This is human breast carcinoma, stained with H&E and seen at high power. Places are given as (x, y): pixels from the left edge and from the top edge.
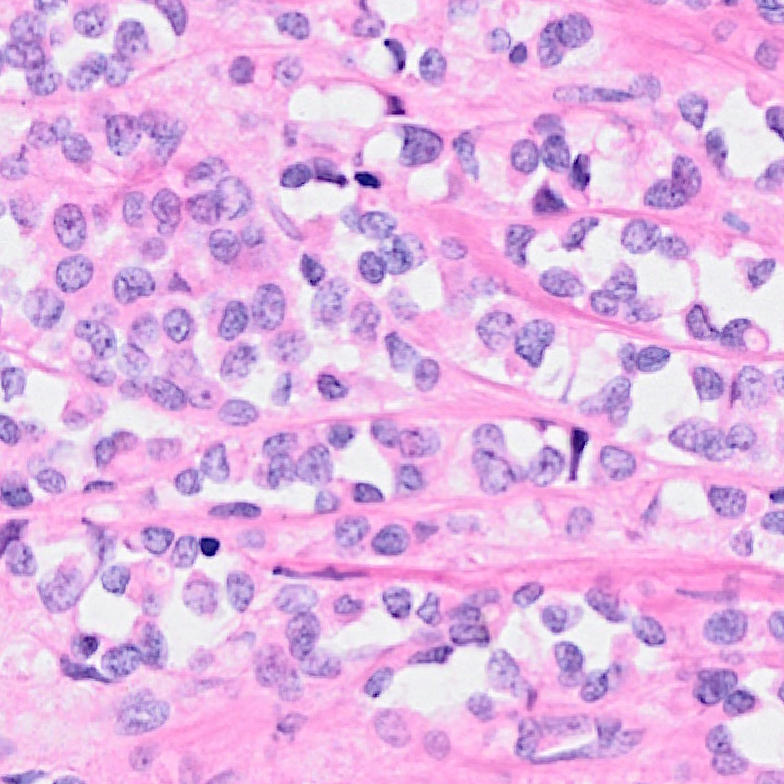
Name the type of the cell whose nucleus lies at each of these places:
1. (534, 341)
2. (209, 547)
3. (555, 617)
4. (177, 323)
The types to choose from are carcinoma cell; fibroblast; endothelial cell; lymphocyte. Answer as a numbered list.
1. carcinoma cell
2. lymphocyte
3. carcinoma cell
4. carcinoma cell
